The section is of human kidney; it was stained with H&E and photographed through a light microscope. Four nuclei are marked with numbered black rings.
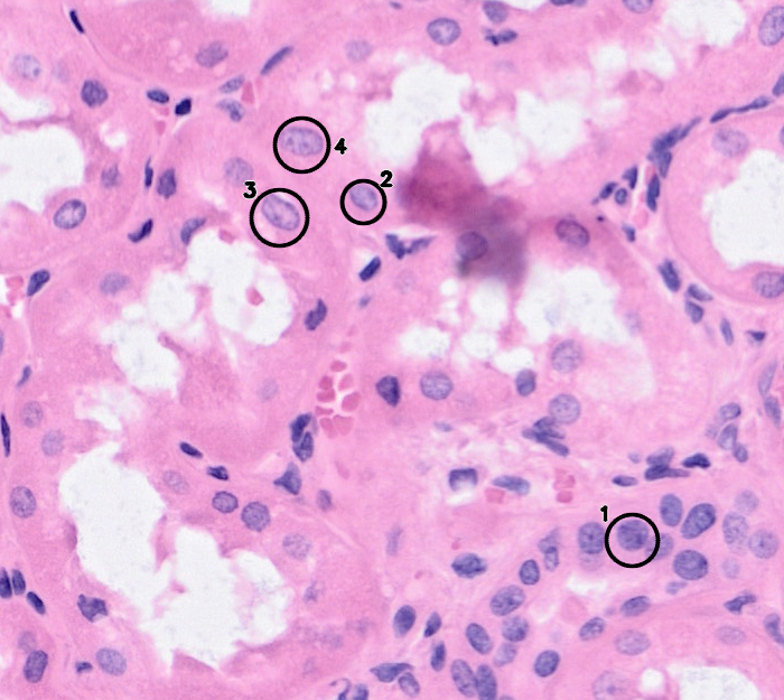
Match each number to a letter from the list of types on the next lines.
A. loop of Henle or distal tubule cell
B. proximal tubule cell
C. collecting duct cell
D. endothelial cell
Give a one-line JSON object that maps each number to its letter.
{"1": "C", "2": "B", "3": "B", "4": "B"}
